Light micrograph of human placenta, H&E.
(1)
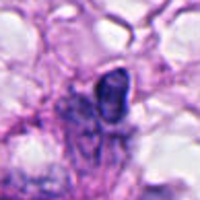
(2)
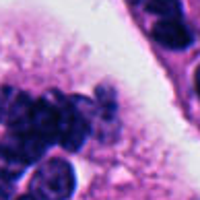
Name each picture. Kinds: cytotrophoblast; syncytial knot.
(1) cytotrophoblast
(2) syncytial knot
